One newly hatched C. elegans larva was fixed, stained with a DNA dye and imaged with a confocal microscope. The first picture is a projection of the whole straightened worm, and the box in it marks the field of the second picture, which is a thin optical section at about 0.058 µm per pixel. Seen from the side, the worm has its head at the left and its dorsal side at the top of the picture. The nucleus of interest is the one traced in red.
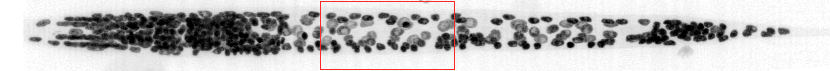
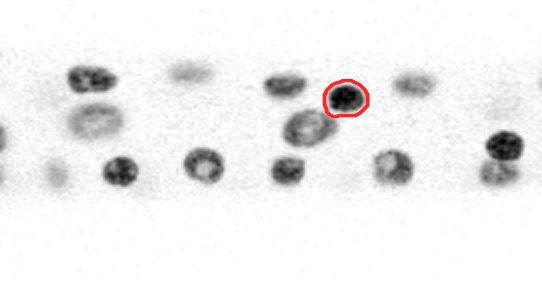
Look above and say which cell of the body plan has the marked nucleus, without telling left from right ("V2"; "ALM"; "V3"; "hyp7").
ALM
